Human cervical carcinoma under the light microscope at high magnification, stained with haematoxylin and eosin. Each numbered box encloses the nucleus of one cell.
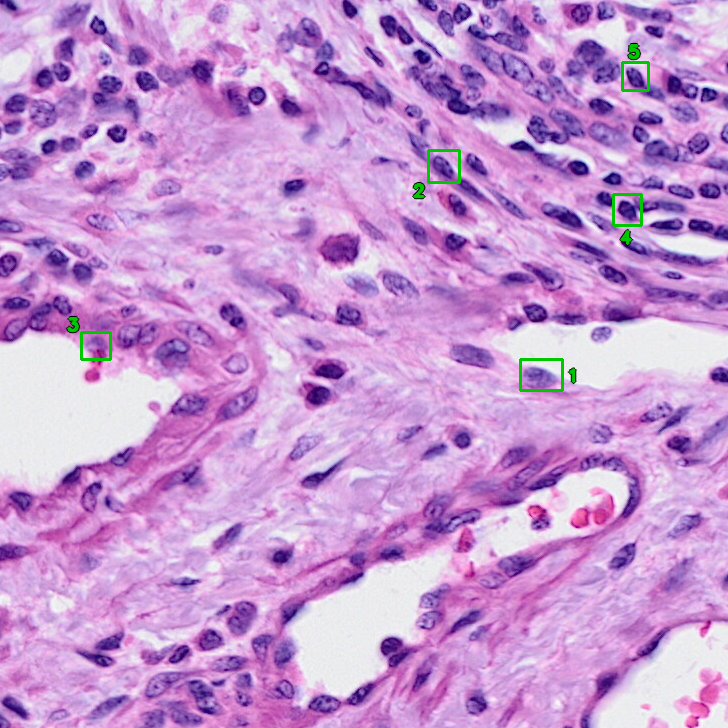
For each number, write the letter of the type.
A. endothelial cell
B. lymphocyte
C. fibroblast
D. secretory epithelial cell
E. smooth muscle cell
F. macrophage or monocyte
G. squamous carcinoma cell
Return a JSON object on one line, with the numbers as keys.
{"1": "A", "2": "B", "3": "A", "4": "B", "5": "B"}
